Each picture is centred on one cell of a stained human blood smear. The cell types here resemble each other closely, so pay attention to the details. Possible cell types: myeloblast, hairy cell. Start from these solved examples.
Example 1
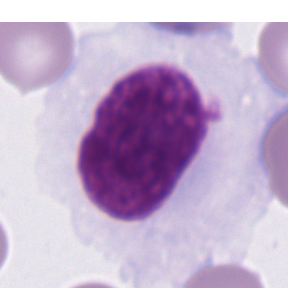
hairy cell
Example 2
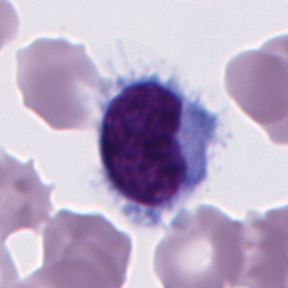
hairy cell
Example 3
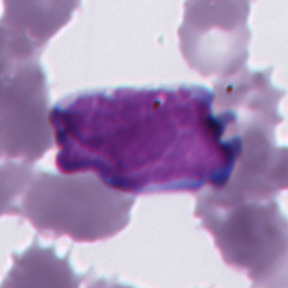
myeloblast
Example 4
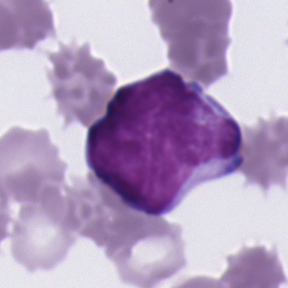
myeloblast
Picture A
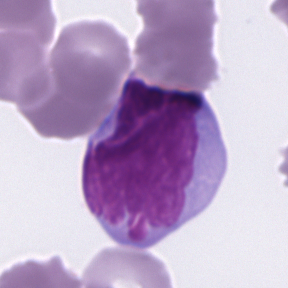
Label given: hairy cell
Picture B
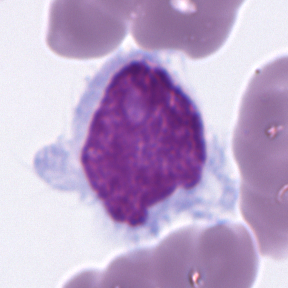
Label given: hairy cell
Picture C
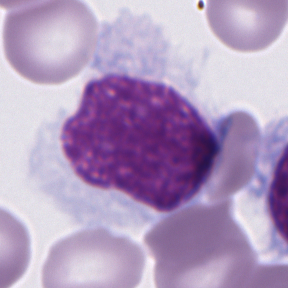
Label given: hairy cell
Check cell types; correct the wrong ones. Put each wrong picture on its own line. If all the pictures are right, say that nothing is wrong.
A is labelled hairy cell; correct label: myeloblast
